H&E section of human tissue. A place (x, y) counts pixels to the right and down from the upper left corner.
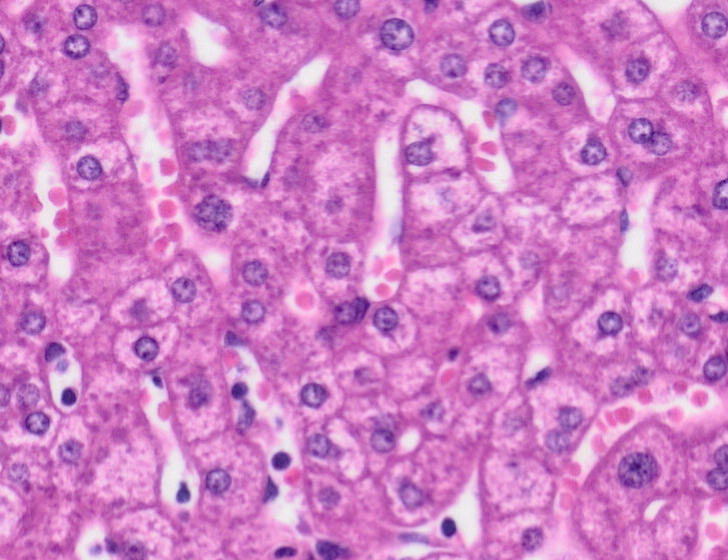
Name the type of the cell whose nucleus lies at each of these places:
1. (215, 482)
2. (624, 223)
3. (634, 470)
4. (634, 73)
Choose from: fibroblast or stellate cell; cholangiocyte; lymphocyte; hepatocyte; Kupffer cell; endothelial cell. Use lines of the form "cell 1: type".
cell 1: hepatocyte
cell 2: endothelial cell
cell 3: hepatocyte
cell 4: hepatocyte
